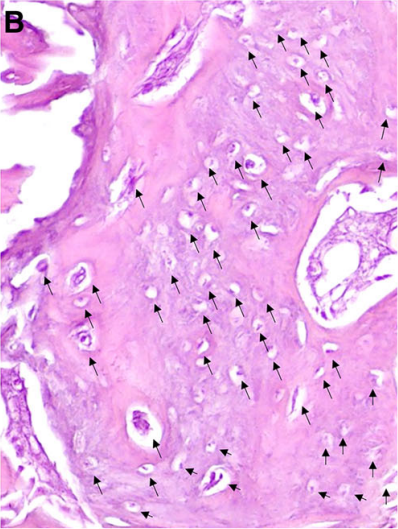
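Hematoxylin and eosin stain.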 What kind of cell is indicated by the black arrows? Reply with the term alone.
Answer: osteocytes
